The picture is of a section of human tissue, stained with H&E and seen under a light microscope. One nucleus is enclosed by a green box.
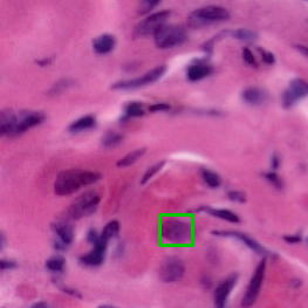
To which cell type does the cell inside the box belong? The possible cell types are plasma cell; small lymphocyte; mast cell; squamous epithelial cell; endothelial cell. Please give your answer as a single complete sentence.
Microscopically, the cell inside the box is categorized as an endothelial cell.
